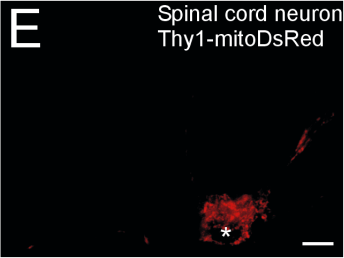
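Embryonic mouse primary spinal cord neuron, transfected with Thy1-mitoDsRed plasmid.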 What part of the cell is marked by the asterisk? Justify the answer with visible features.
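The asterisk lies on a dark rounded region at the lower part of the red cell body. Red granular fluorescence surrounds that dark region.
Answer: the nucleus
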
